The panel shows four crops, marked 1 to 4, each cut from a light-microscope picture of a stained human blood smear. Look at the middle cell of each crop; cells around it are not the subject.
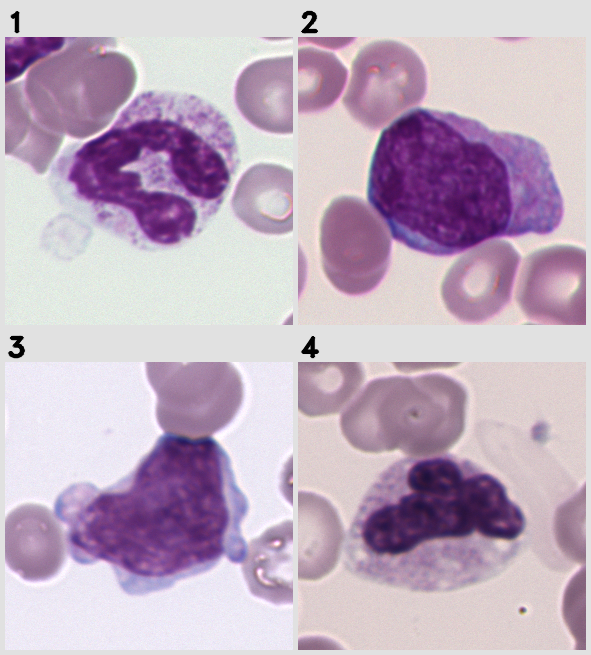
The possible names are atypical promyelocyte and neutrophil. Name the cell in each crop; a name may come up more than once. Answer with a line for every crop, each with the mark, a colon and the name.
1: neutrophil
2: atypical promyelocyte
3: atypical promyelocyte
4: neutrophil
